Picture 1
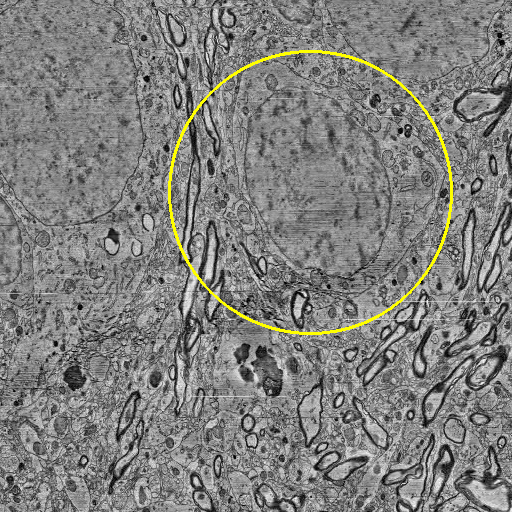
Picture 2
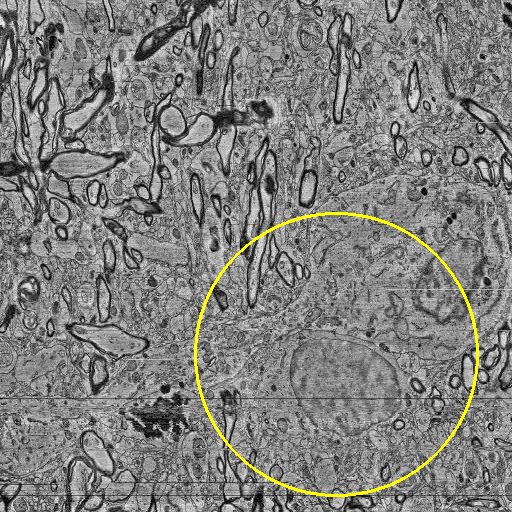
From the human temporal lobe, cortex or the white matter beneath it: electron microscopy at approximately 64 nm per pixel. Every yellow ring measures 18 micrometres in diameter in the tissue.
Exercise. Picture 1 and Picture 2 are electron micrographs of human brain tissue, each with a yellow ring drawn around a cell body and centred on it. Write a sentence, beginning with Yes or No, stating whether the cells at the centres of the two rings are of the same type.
No, the cells at the centres of the rings are of two types.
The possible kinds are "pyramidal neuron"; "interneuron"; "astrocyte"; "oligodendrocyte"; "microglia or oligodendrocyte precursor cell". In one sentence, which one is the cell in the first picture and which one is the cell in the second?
The cell ringed in the second picture is an oligodendrocyte, whereas the one ringed in the first is an interneuron.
